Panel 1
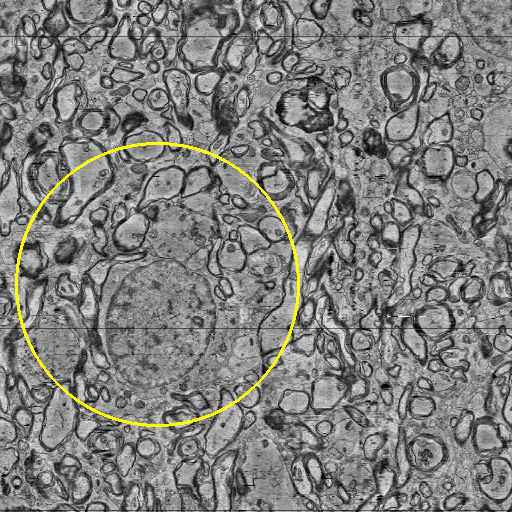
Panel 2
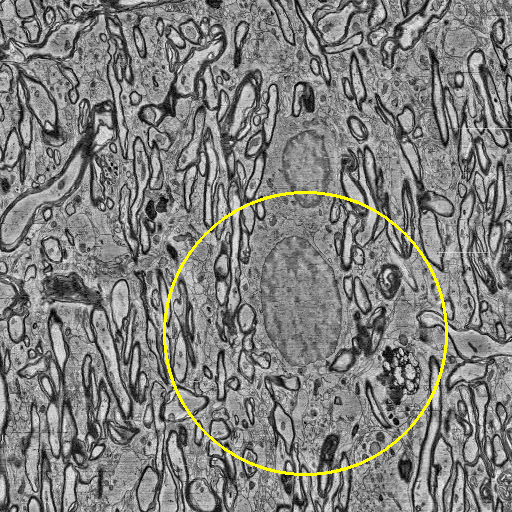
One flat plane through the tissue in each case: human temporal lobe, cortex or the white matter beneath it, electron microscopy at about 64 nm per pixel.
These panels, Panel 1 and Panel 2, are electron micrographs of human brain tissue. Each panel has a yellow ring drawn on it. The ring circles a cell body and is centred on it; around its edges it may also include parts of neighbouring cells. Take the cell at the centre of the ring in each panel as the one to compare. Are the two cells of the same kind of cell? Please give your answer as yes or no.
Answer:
yes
